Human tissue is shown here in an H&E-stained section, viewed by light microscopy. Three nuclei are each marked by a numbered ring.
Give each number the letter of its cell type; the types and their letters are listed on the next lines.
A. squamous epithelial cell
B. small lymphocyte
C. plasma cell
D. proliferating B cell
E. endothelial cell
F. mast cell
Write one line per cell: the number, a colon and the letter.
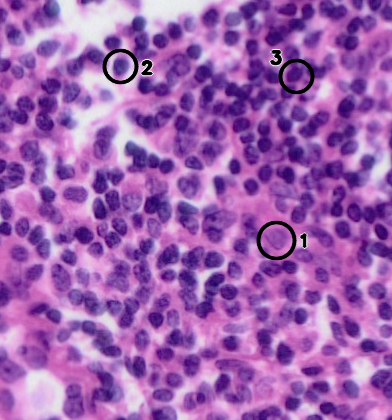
1: E
2: B
3: B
